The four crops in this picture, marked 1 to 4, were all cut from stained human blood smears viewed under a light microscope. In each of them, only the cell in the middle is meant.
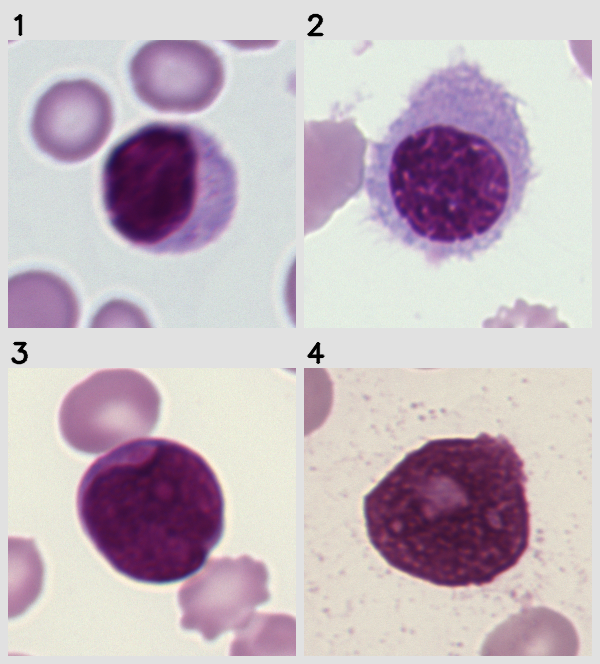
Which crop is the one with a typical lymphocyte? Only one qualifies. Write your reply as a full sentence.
Within this set, crop 1 is the one with a typical lymphocyte at its center.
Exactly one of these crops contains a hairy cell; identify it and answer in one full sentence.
Crop 2 is where a hairy cell is to be found.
